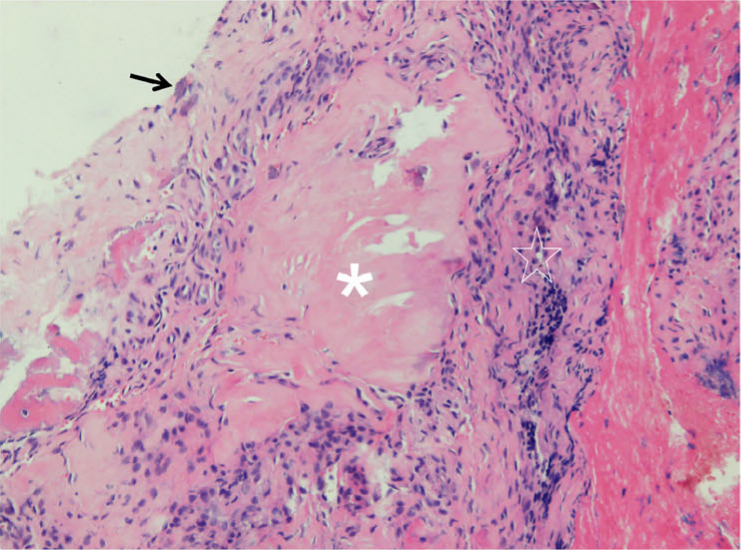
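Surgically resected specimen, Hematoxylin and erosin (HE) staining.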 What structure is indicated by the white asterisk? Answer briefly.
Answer: Uric acid crystals.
